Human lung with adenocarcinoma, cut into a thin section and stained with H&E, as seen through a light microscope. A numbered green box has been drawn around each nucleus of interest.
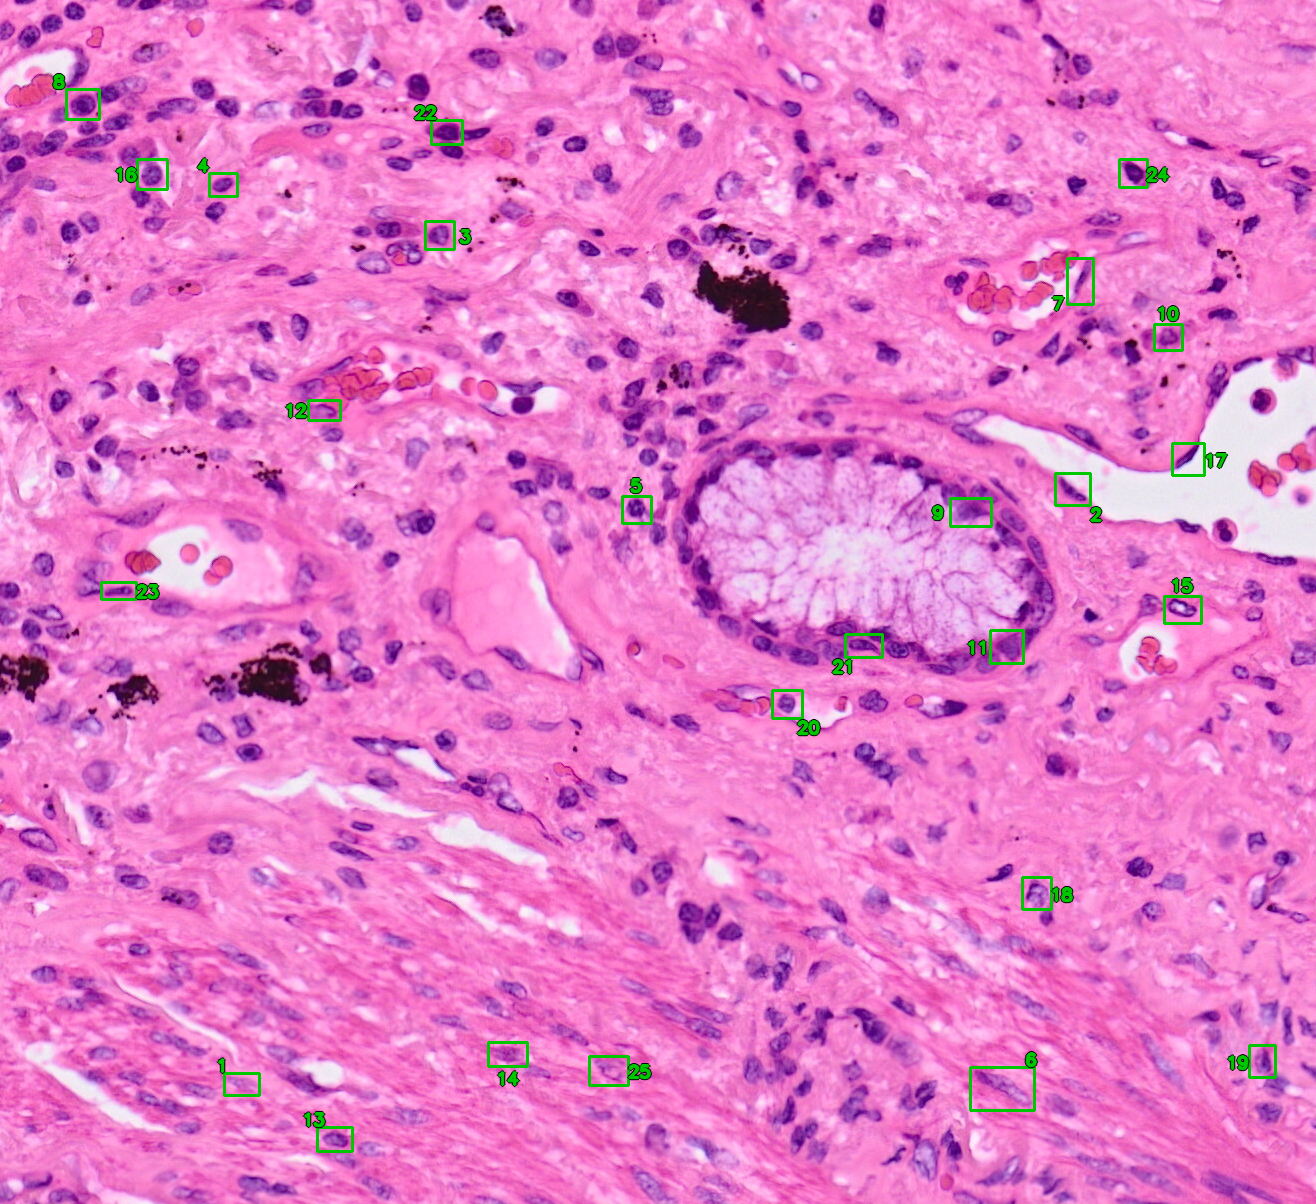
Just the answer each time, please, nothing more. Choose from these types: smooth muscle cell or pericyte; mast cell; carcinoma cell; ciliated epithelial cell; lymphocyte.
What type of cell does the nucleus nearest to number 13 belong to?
smooth muscle cell or pericyte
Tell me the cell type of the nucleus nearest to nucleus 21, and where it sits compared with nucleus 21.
a ciliated epithelial cell, above and to the right of nucleus 21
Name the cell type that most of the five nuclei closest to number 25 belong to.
smooth muscle cell or pericyte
